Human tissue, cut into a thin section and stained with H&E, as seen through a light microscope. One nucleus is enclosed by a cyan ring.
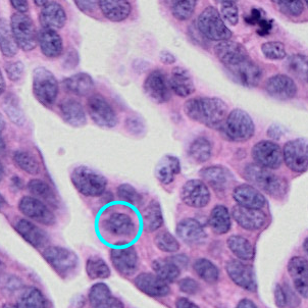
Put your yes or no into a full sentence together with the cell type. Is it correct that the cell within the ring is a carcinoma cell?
Yes, the cell type of the cell within the ring is that of a carcinoma cell.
